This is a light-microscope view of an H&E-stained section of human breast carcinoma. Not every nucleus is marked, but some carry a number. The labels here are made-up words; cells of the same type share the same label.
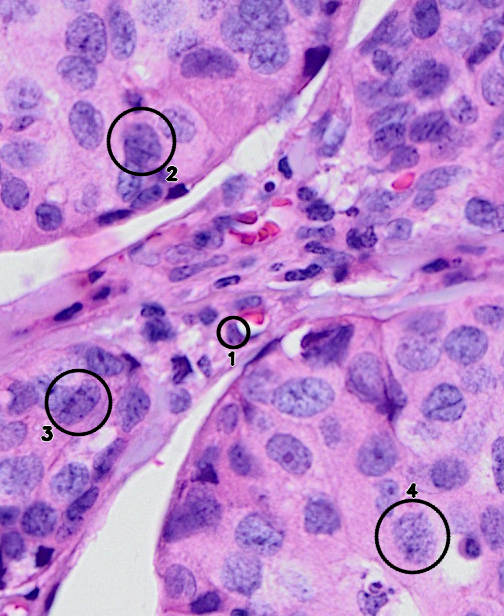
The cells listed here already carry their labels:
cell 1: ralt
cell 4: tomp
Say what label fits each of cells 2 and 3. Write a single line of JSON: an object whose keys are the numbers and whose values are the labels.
{"2": "tomp", "3": "tomp"}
